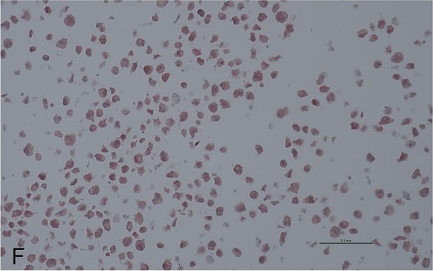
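The cells are small and mostly rounded to slightly polygonal, without any tissue architecture between them. Most cells are filled with an intense pink-red color throughout their bodies, while a minority appear paler. The cells lie loosely scattered in small groups and singly across the whole field, with larger empty spaces between some of the clusters.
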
